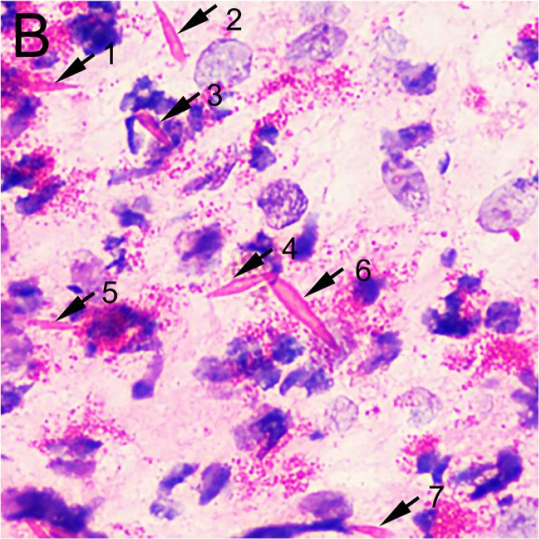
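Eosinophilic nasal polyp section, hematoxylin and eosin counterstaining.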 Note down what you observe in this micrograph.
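The crystals are pink, glassy and elongated, like slender needles or spindles that taper to points at both ends, and they show no nucleus. Around them lie cells with purple-blue nuclei, many with cytoplasm crowded by coarse bright pink-red granules, and granules are also spread loosely through the pale background. Some pale cells with rounded, lightly stained nuclei sit between them.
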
